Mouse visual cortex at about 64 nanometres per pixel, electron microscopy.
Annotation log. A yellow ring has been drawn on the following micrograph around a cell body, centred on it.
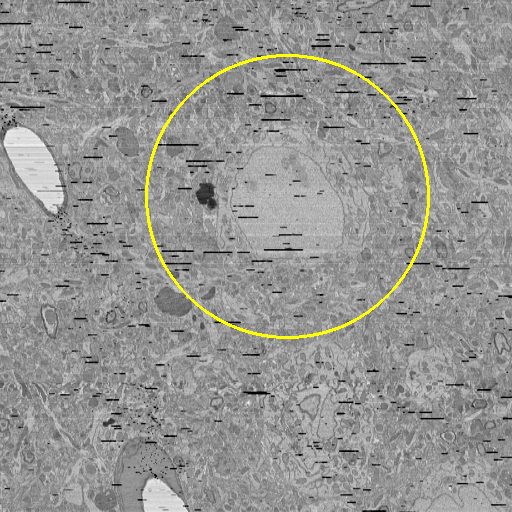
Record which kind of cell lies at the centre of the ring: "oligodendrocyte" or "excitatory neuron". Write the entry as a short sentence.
The cell the ring is centred on is an excitatory neuron.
